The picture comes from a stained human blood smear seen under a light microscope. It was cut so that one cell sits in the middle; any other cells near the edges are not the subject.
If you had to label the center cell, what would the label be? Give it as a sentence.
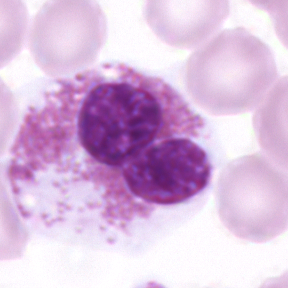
For this crop, the cell in the middle is an eosinophil.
